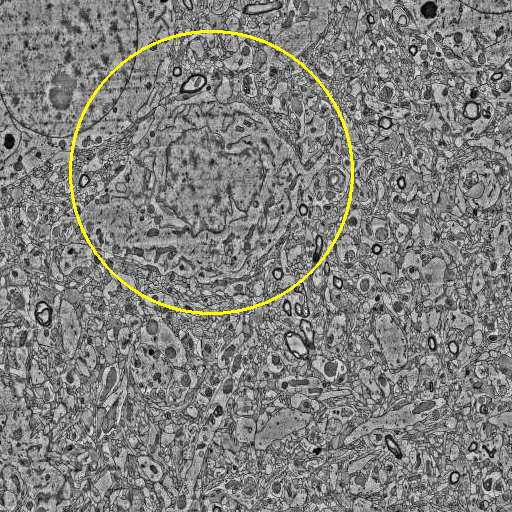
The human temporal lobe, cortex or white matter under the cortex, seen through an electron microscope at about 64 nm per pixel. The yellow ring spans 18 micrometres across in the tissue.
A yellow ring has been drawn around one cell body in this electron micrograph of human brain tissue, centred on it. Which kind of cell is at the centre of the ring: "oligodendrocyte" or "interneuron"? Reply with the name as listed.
interneuron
